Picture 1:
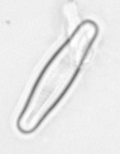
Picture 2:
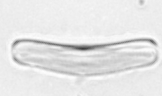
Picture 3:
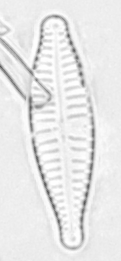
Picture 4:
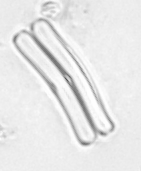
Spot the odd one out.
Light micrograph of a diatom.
Picture 3 (Gomphonema among Achnanthidium).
